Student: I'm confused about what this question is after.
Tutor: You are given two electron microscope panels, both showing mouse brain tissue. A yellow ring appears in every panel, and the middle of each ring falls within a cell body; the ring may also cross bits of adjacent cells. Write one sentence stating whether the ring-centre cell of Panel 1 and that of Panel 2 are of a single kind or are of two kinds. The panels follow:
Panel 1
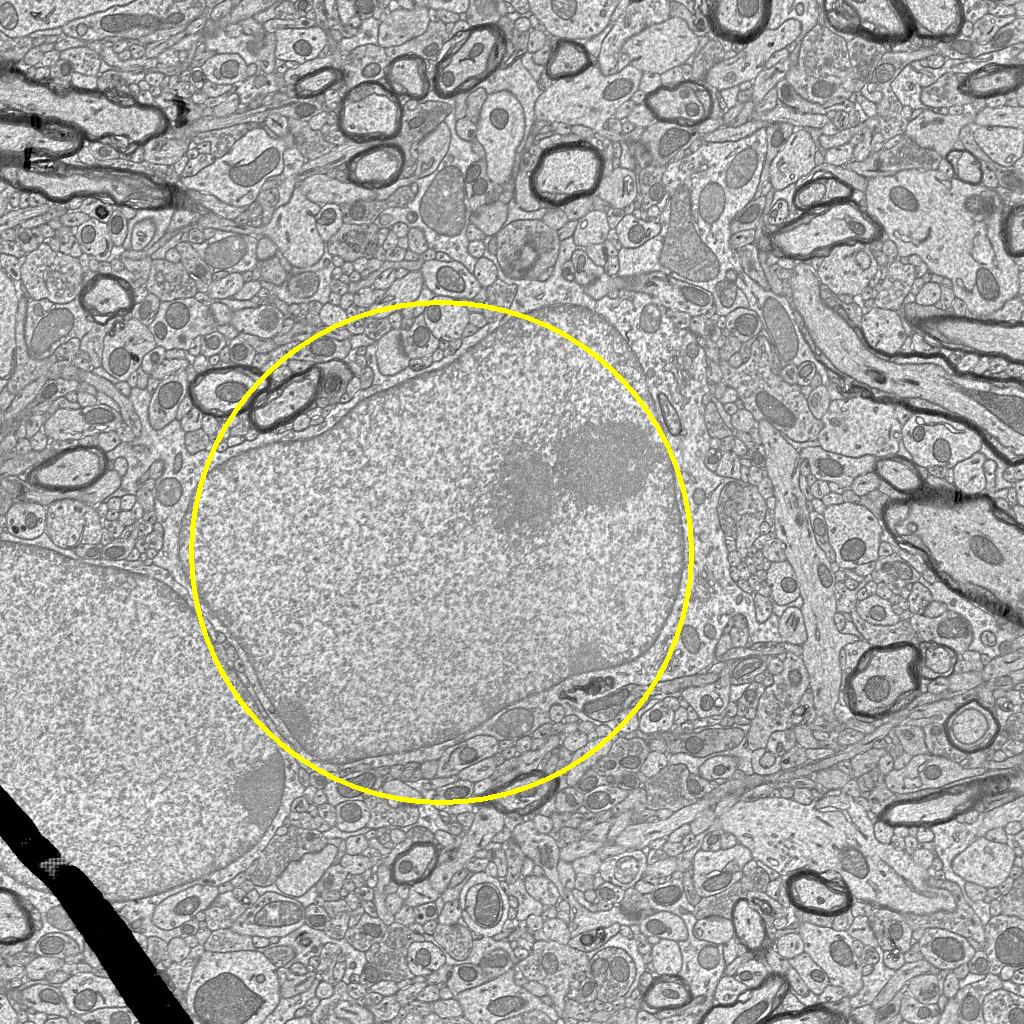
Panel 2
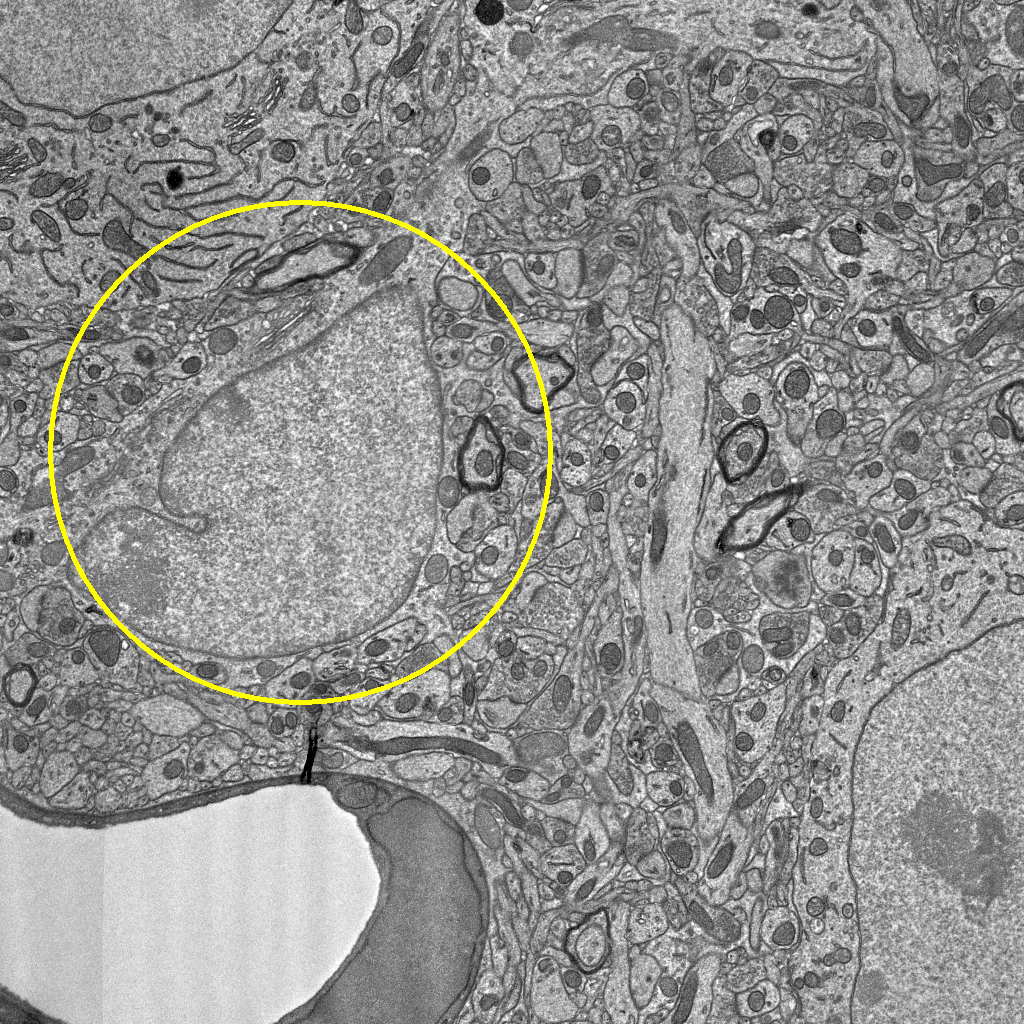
Here, the Panel 1 ring-centre cell and the Panel 2 ring-centre cell are of a single kind.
